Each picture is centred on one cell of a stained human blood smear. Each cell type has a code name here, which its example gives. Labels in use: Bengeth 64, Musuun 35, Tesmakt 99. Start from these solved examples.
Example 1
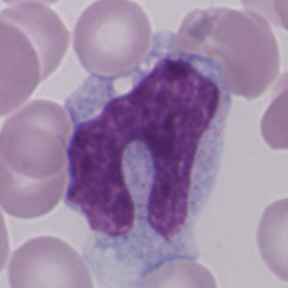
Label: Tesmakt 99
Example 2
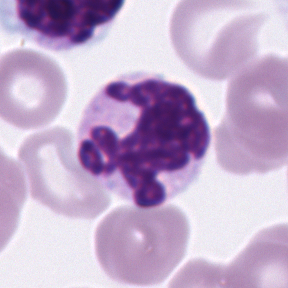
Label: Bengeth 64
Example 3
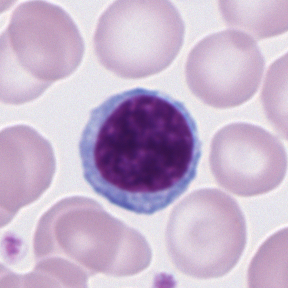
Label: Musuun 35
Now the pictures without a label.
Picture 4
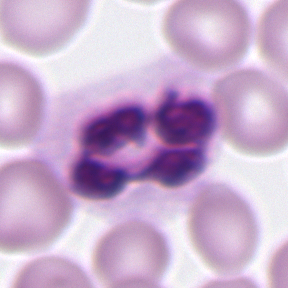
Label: Bengeth 64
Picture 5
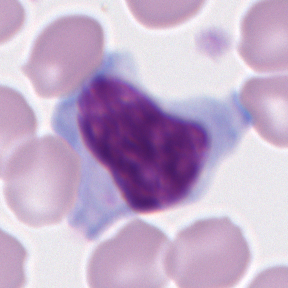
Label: Musuun 35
